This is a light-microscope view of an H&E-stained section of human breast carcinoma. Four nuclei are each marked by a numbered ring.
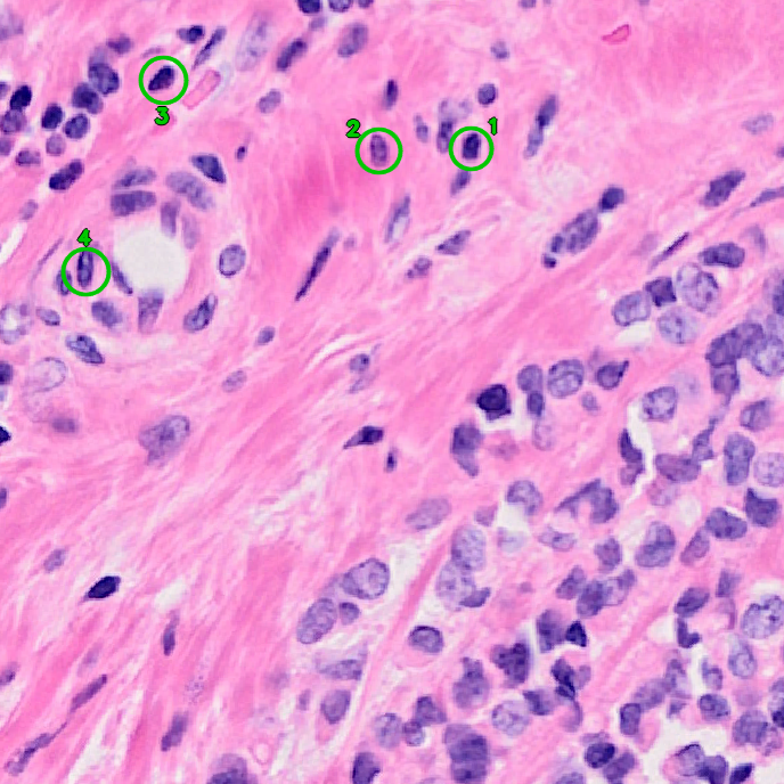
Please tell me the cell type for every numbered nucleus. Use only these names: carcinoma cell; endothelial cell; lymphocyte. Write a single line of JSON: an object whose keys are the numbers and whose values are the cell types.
{"1": "lymphocyte", "2": "lymphocyte", "3": "lymphocyte", "4": "endothelial cell"}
